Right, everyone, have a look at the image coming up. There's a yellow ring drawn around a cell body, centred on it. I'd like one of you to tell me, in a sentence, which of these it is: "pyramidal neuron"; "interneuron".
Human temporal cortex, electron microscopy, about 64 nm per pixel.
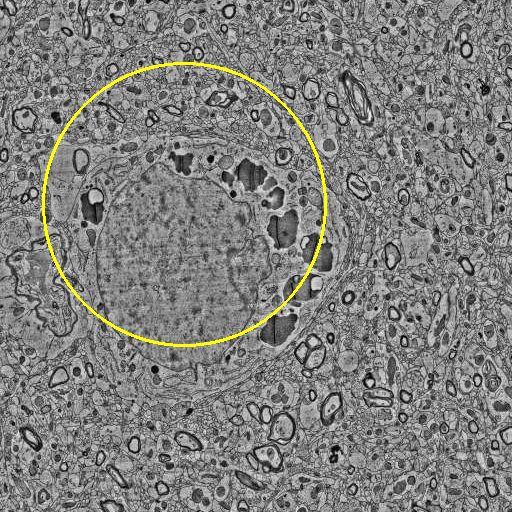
The yellow ring sits on an interneuron.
